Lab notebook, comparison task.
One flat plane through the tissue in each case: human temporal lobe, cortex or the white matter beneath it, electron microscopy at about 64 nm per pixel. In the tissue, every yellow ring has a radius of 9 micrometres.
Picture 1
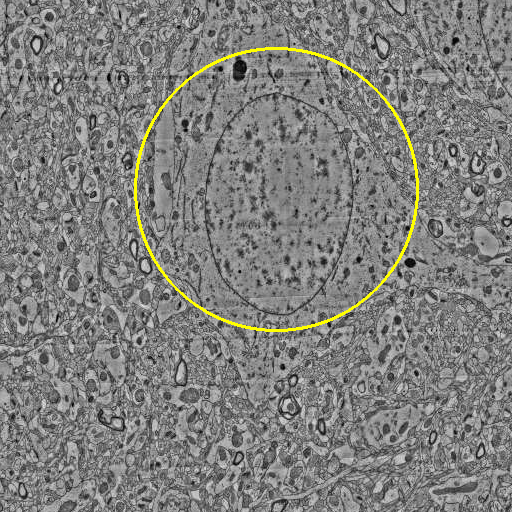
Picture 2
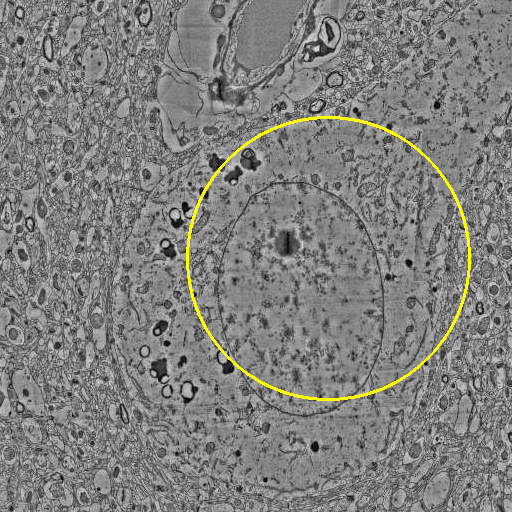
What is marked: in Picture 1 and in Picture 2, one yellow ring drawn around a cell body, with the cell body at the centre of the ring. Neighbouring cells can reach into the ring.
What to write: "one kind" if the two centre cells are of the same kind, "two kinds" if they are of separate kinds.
one kind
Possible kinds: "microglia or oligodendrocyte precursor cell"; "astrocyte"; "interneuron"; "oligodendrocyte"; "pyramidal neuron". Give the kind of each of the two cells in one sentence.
Each of the two rings is centred on a pyramidal neuron.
